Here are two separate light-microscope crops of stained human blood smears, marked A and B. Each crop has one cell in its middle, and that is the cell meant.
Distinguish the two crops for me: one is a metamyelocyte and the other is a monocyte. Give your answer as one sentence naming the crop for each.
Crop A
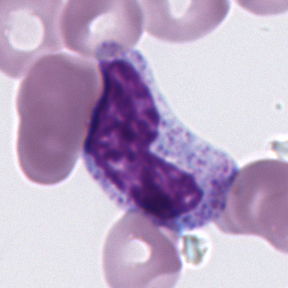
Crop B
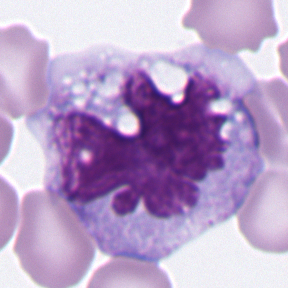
The correct labels are a metamyelocyte for crop A and a monocyte for crop B.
